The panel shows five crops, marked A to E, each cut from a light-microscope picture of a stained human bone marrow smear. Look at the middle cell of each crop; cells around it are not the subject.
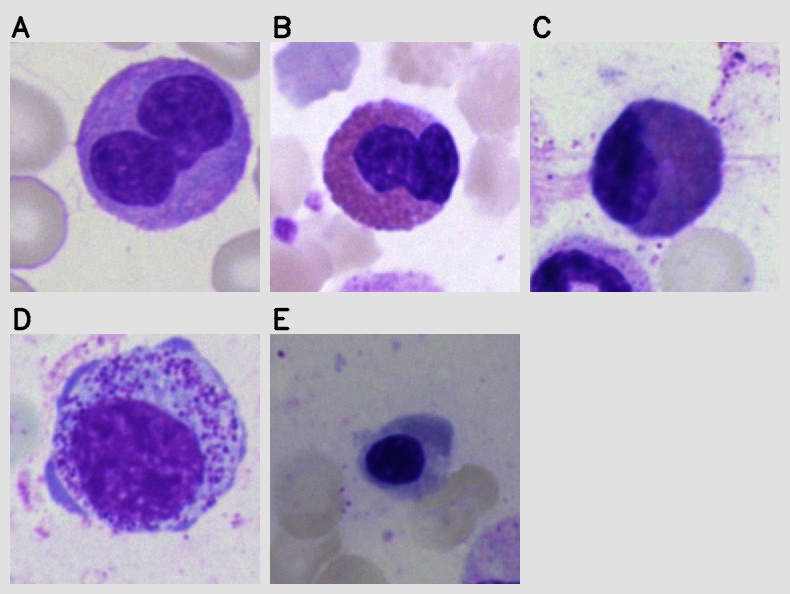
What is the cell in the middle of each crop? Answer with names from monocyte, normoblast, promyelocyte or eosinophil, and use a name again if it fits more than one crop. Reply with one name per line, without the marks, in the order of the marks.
monocyte
eosinophil
eosinophil
promyelocyte
normoblast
